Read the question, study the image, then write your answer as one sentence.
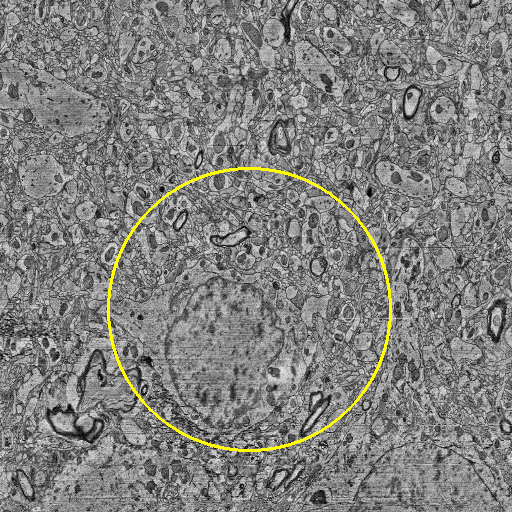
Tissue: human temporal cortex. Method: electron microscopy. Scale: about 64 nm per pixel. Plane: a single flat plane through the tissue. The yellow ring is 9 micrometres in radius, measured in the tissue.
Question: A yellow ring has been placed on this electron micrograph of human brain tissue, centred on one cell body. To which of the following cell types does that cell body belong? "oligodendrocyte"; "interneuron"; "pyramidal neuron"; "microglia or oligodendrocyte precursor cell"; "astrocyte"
That cell body belongs to an interneuron.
